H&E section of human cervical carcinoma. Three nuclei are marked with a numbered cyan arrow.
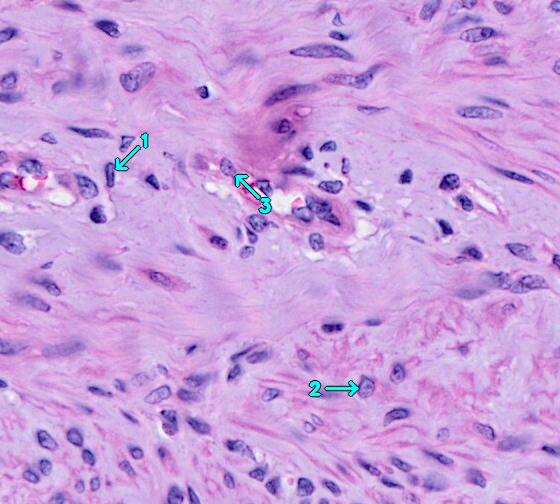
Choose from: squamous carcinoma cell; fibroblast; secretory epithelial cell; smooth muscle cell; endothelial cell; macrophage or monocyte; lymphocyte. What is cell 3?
endothelial cell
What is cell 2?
smooth muscle cell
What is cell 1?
fibroblast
